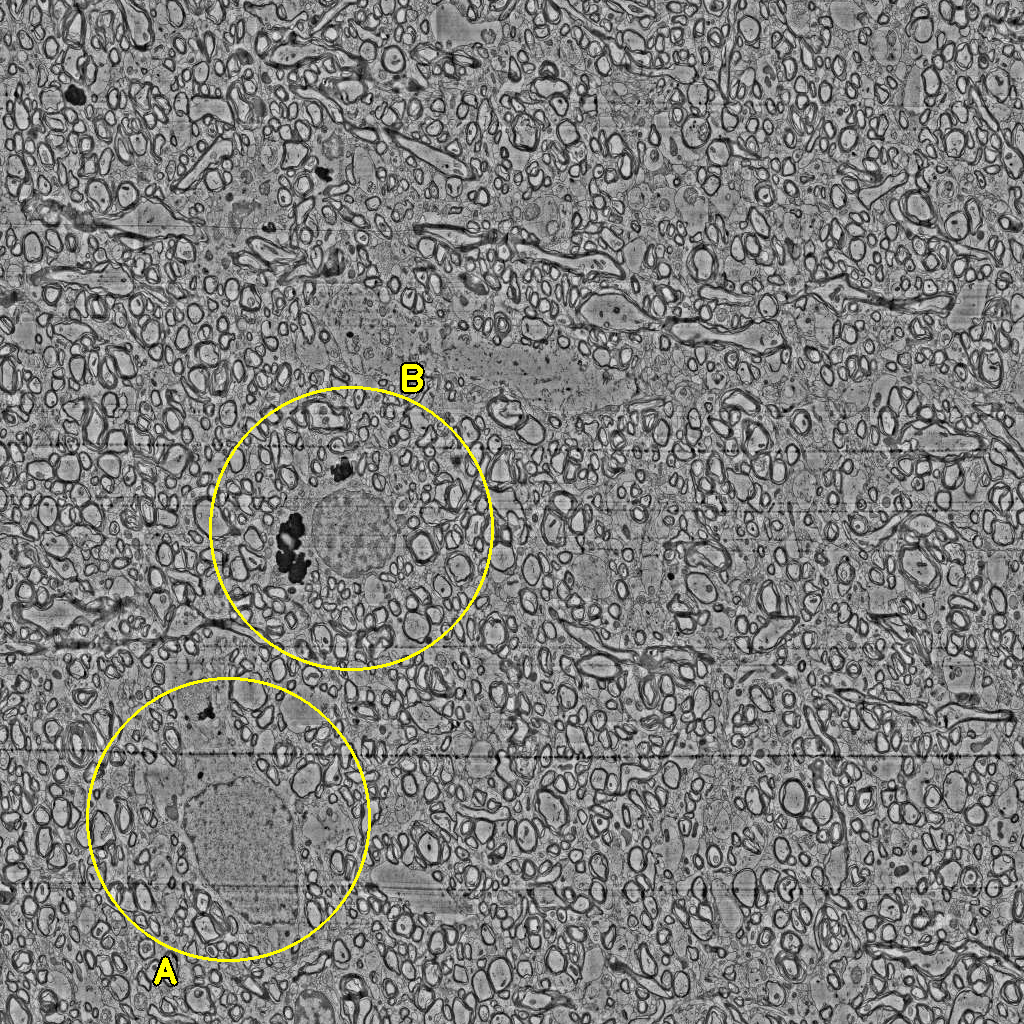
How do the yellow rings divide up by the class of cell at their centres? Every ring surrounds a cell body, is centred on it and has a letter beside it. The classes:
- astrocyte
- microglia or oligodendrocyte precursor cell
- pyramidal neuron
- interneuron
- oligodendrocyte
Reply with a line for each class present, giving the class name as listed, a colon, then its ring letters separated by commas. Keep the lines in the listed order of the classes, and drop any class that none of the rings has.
astrocyte: A
oligodendrocyte: B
